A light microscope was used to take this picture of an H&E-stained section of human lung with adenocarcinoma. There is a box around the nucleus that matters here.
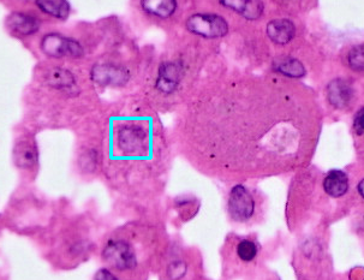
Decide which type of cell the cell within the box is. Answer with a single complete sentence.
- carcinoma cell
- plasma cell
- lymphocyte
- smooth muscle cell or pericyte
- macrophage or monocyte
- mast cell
The cell type of the cell within the box is that of a macrophage or monocyte.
